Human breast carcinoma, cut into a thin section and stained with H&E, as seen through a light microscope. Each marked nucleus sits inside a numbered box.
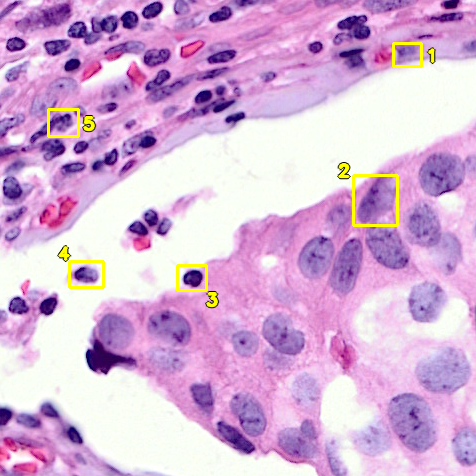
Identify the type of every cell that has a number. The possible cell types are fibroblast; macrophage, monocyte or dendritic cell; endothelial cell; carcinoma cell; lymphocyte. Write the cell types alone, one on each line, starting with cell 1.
endothelial cell
carcinoma cell
lymphocyte
lymphocyte
lymphocyte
